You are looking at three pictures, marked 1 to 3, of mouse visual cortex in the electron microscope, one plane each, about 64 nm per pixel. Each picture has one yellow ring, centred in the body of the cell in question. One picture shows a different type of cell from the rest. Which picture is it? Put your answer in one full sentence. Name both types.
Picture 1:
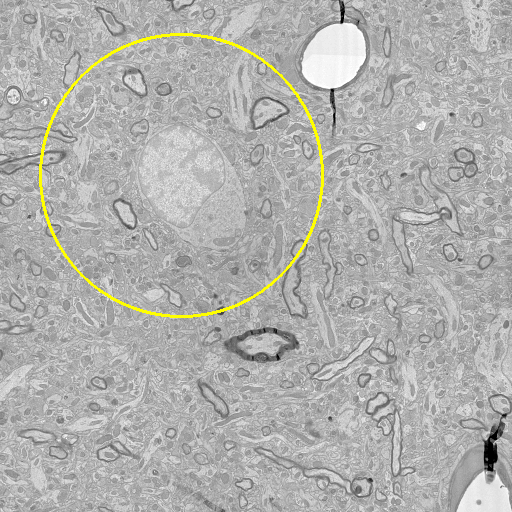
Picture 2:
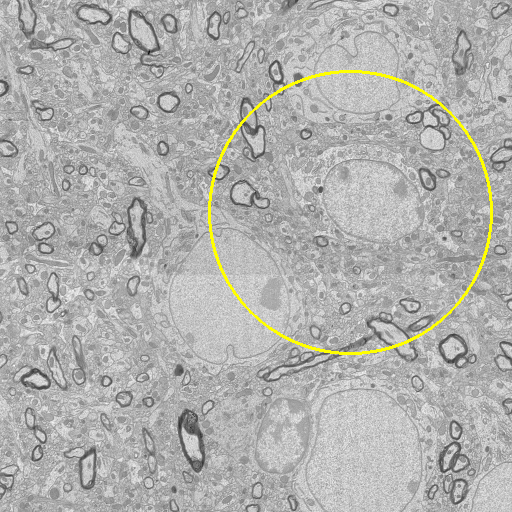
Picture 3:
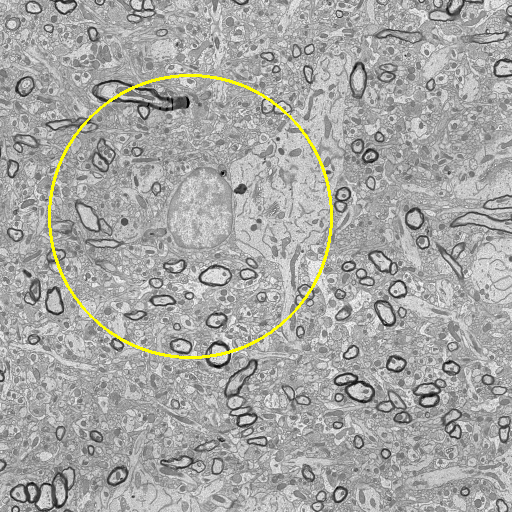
The others show oligodendrocytes, but picture 2 shows an astrocyte.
